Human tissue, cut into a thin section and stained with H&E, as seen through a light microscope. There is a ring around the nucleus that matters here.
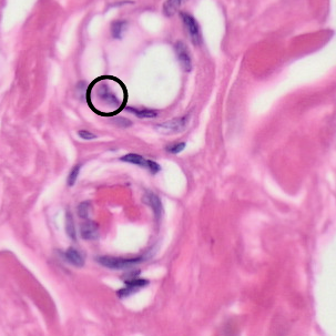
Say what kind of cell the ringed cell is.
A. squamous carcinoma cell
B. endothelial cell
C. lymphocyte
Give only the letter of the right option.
B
